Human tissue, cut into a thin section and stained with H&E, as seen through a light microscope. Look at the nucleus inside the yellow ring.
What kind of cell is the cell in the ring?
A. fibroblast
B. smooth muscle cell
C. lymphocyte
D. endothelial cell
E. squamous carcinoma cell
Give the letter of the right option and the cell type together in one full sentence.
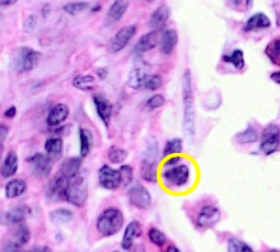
The correct option is C, as the cell in the ring is a lymphocyte.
